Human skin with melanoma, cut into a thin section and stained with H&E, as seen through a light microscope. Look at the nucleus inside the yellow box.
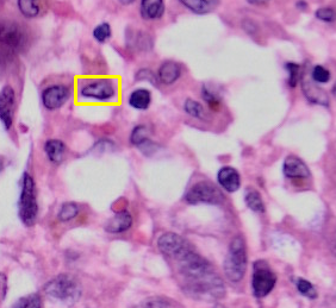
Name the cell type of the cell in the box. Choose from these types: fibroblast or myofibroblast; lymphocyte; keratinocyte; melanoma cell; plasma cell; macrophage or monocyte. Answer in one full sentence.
With respect to cell type, the cell in the box is a macrophage or monocyte.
